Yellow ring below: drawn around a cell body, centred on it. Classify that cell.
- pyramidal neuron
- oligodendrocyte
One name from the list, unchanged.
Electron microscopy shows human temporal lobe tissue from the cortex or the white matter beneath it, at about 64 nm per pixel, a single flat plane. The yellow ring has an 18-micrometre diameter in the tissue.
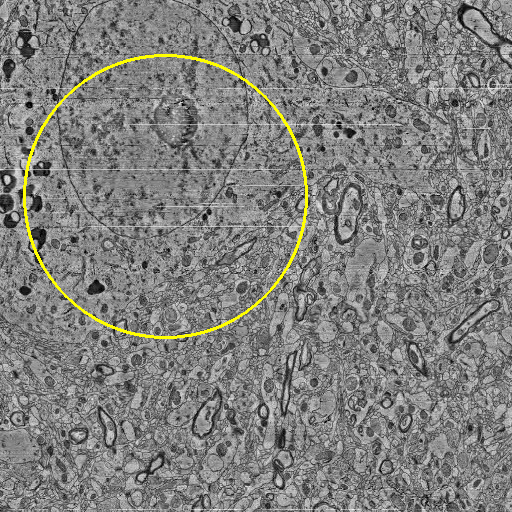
pyramidal neuron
